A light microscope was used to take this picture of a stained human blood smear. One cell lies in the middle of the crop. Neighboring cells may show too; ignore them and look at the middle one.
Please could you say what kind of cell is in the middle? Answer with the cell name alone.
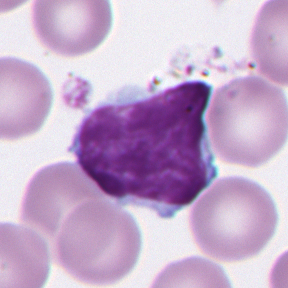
lymphocyte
